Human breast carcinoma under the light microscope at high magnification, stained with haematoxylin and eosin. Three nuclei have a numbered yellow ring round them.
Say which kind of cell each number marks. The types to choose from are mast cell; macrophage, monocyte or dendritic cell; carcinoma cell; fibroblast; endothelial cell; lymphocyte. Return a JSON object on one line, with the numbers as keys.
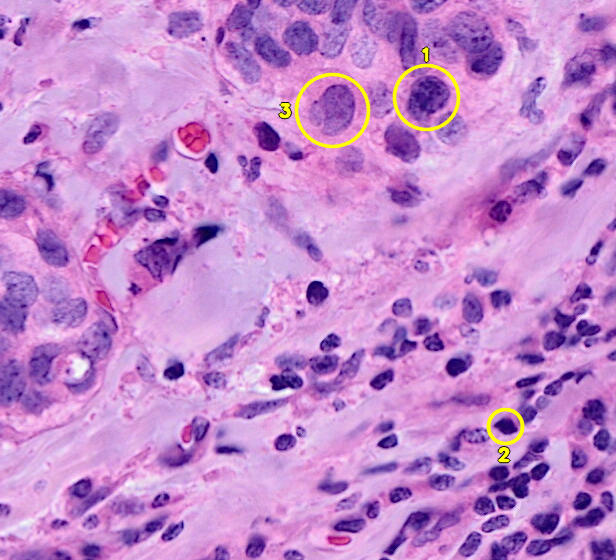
{"1": "carcinoma cell", "2": "lymphocyte", "3": "carcinoma cell"}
